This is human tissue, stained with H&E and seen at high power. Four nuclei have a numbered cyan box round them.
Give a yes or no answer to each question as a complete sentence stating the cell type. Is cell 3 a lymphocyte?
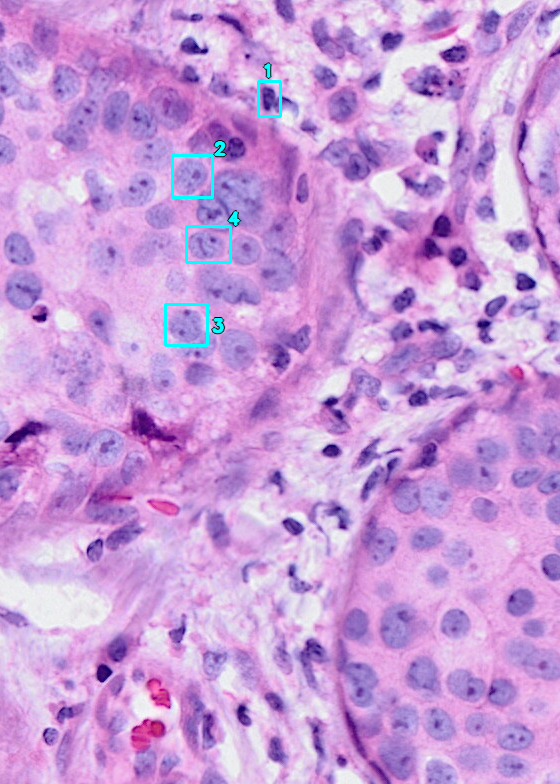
No, the cell bearing the number 3 is a carcinoma cell, not a lymphocyte.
